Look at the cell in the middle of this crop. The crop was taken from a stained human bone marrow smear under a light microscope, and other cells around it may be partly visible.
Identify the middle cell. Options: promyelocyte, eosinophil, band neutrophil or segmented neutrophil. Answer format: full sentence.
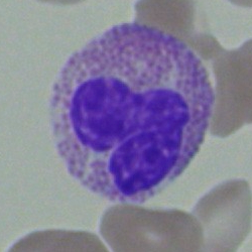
The cell in the middle of this crop is an eosinophil.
